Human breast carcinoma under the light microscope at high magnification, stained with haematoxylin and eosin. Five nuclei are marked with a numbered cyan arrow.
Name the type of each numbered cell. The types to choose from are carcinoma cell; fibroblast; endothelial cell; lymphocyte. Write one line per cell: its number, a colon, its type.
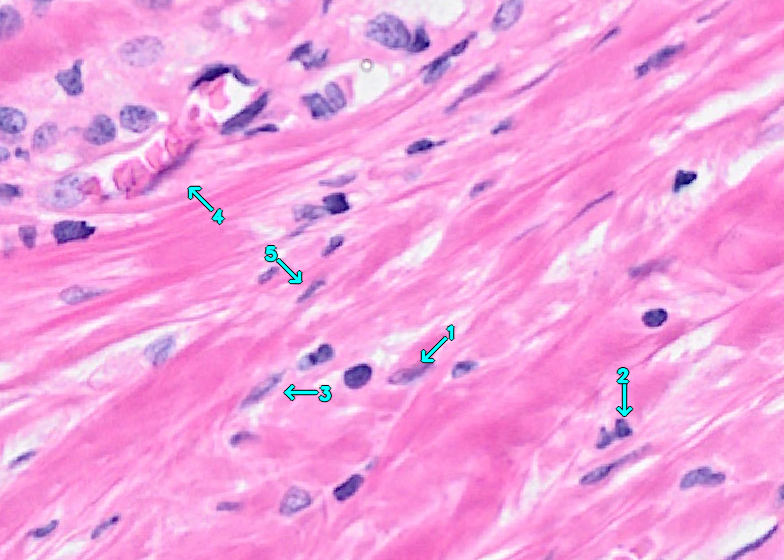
1: fibroblast
2: lymphocyte
3: fibroblast
4: endothelial cell
5: fibroblast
